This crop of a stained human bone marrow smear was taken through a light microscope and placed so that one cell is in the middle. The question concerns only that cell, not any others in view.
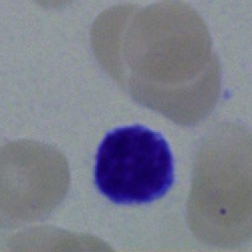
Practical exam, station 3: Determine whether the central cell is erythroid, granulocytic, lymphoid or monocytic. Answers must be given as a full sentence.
By lineage, the cell in the middle of the crop is lymphoid.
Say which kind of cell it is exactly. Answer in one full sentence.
At the crop's centre, the cell is a lymphocyte.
